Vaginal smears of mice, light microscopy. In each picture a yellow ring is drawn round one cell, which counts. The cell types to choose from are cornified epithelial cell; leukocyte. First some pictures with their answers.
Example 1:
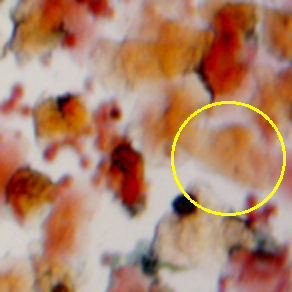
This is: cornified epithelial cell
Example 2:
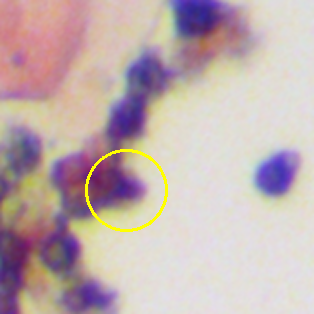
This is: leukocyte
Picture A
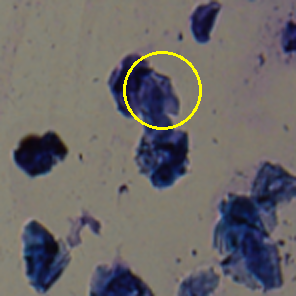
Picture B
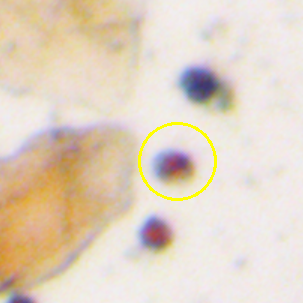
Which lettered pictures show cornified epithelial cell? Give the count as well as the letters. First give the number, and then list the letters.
1: A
